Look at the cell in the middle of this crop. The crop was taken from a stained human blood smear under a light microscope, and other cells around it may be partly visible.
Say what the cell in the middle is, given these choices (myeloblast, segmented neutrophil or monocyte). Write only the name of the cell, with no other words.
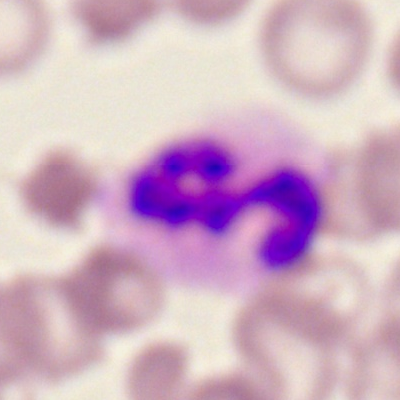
segmented neutrophil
